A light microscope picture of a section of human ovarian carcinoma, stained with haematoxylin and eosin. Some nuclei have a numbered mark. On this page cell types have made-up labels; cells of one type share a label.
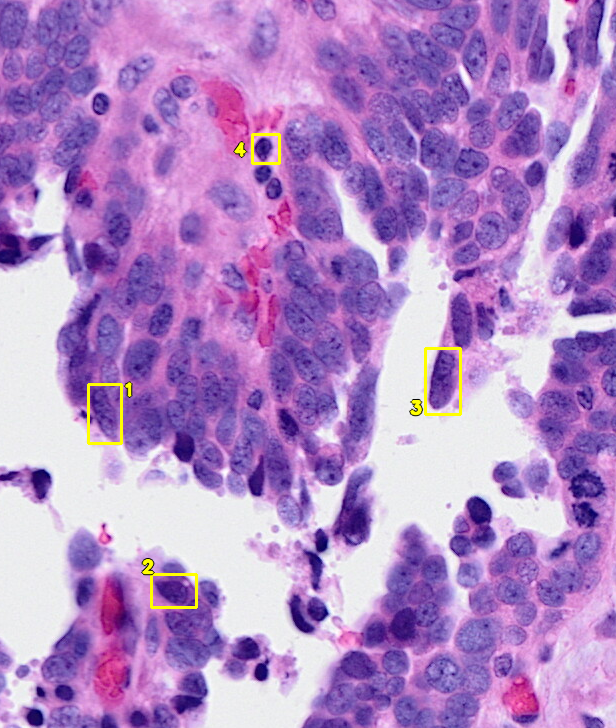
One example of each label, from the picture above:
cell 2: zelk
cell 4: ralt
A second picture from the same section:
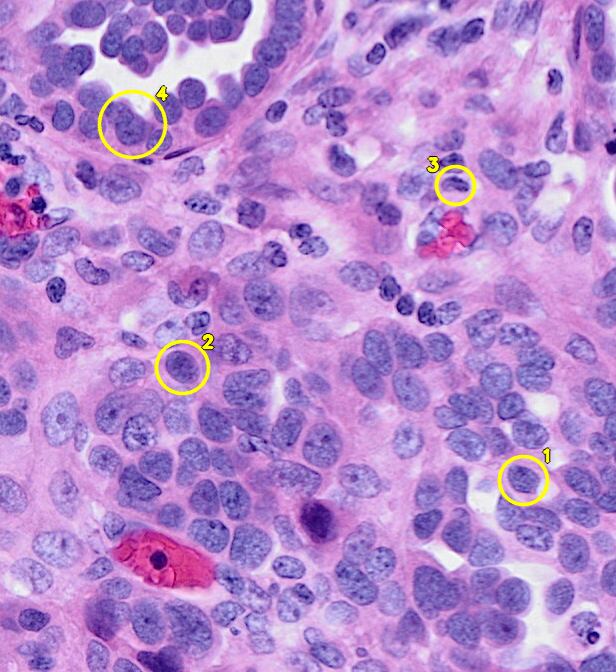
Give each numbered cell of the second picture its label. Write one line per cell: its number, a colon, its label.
1: zelk
2: zelk
3: ralt
4: zelk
